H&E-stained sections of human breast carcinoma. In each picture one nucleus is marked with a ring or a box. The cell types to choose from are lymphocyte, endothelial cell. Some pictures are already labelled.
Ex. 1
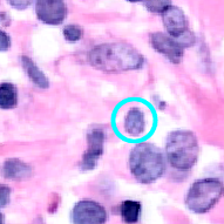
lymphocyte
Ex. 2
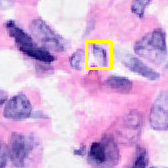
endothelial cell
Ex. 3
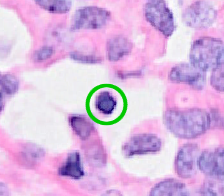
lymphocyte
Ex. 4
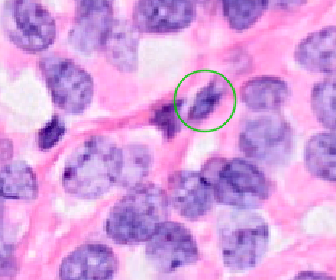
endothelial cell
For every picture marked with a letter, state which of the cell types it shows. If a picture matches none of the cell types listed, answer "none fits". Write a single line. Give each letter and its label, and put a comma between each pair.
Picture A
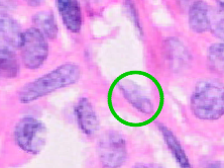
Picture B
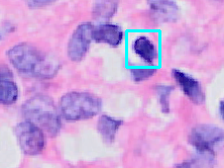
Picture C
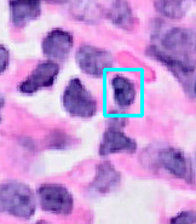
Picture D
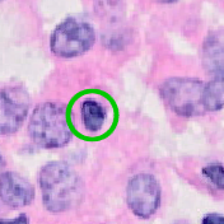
A endothelial cell, B lymphocyte, C lymphocyte, D lymphocyte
